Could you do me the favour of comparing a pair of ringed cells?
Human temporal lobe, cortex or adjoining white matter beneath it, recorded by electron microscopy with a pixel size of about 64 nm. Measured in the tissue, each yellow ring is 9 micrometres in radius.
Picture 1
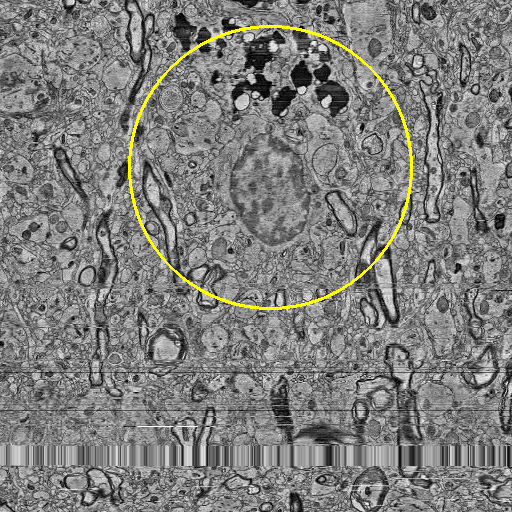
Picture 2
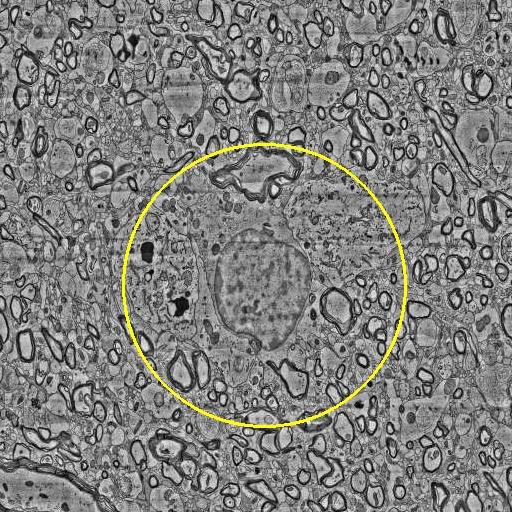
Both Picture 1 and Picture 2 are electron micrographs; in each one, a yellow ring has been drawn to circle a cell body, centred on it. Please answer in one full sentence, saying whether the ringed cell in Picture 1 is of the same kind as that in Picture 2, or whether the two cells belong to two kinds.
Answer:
The ringed cell in Picture 1 is of the same kind as that in Picture 2.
